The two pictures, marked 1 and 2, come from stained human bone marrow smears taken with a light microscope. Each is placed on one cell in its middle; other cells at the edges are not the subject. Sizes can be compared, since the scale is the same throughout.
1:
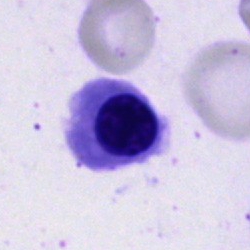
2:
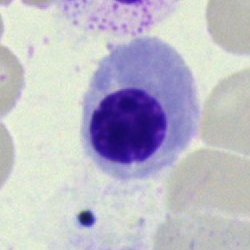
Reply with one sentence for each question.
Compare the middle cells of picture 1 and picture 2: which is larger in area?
Picture 2 holds the larger cell; it covers about 1.5 times the area of the cell in picture 1.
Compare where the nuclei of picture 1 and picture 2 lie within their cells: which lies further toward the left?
It is the nucleus in picture 2 that lies further toward the left of its cell.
